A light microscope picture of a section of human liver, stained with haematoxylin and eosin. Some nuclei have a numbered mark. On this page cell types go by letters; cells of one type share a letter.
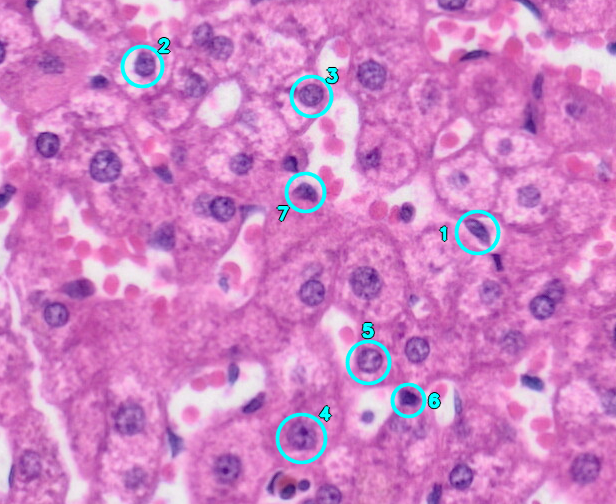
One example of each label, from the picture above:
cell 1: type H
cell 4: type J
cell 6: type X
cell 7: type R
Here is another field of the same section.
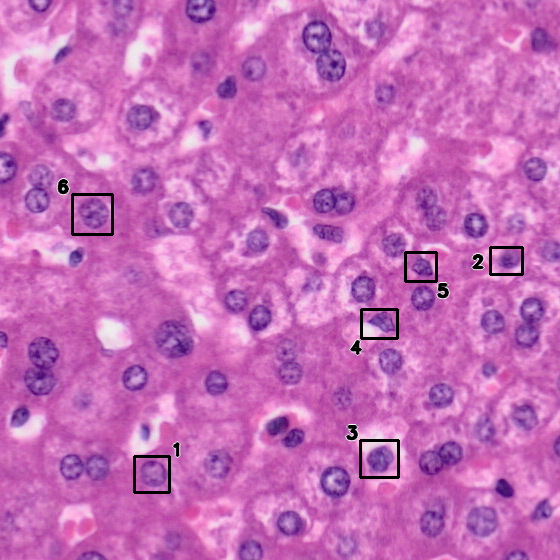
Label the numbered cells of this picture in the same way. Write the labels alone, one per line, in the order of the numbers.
type J
type H
type H
type R
type R
type J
